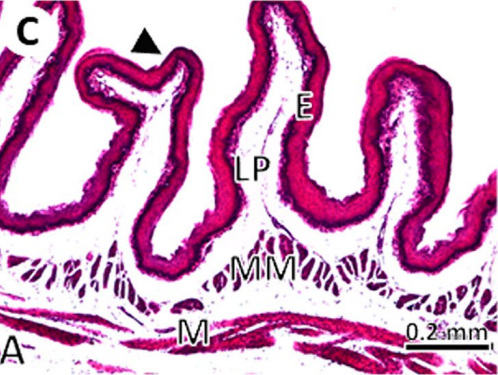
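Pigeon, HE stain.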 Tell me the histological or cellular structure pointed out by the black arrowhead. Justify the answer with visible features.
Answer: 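The arrowhead sits on a small side projection at the tip of a tall fold. The projection is covered by the same thick epithelium with a core of connective tissue.
Answer: secondary mucosal folds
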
